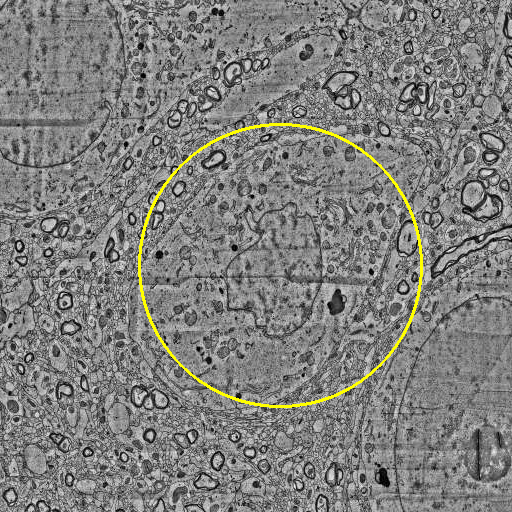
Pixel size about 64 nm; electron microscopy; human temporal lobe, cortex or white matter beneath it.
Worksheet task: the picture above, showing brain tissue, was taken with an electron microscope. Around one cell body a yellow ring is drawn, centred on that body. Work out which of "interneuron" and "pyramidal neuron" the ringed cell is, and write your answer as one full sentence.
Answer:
It is a pyramidal neuron whose cell body lies at the centre of the yellow ring.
